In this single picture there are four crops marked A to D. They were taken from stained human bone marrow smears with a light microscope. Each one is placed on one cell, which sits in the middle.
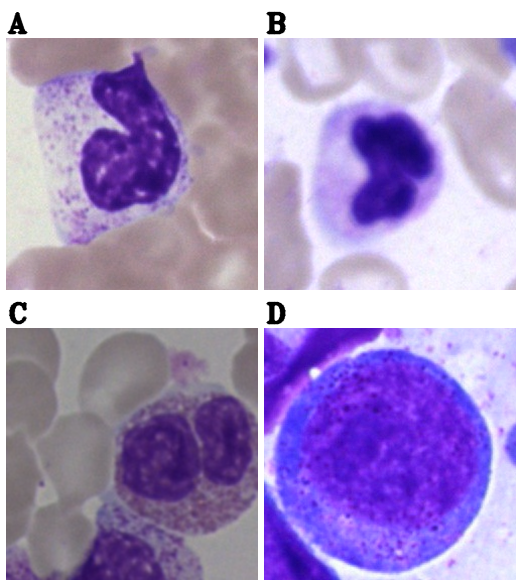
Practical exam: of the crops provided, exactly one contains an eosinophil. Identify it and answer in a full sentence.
The crop in which an eosinophil is shown is crop C.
